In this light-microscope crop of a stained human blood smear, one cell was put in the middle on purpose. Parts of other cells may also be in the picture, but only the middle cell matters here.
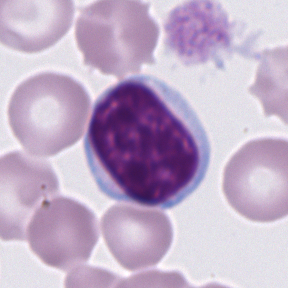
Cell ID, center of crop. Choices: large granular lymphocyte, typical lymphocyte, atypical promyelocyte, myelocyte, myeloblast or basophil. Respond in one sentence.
The cell the crop is centered on is a typical lymphocyte.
